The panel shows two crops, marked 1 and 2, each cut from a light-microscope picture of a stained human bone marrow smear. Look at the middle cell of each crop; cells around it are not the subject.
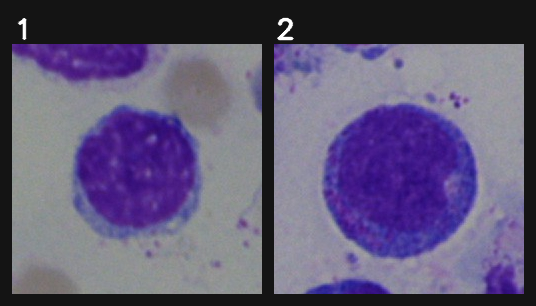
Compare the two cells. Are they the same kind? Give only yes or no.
no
